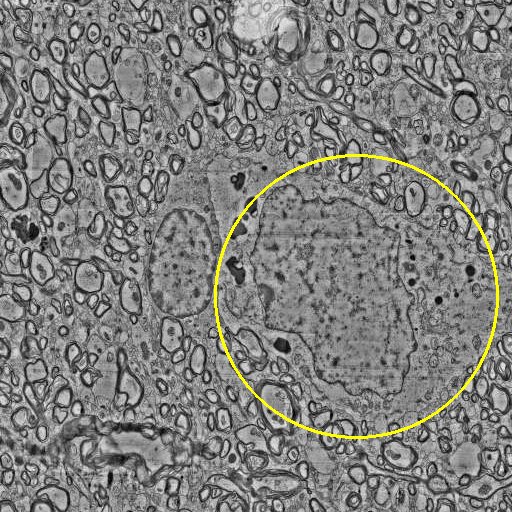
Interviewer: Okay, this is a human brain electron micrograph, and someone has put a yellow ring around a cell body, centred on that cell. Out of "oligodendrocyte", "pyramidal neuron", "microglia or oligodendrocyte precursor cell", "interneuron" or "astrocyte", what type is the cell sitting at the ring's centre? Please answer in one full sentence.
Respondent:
The cell at the centre of the yellow ring in this picture is a pyramidal neuron.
